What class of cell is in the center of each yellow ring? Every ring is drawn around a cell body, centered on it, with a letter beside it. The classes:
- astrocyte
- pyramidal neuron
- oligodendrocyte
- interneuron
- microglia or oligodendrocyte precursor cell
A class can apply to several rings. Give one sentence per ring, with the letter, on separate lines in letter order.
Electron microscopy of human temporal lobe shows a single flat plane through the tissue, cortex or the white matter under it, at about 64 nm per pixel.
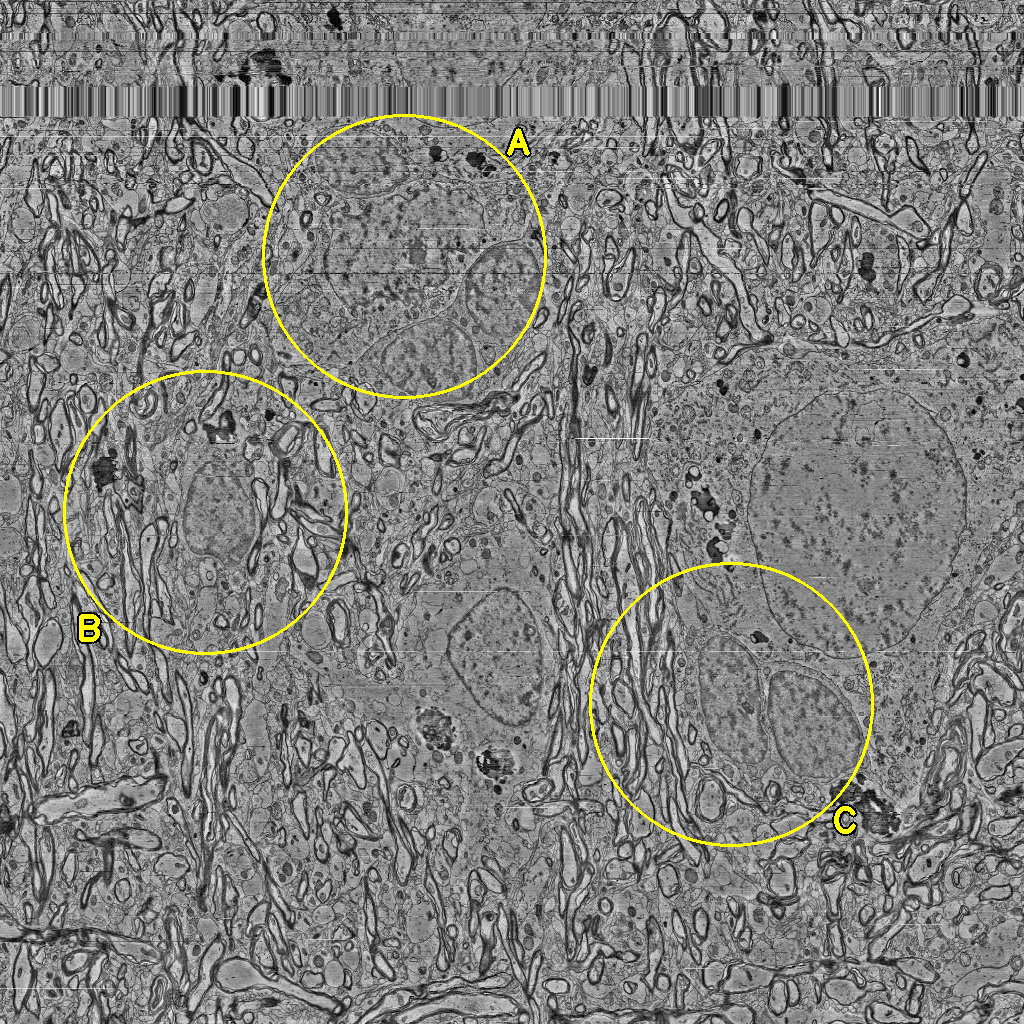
Ring A holds an interneuron at its center.
Ring B holds an oligodendrocyte at its center.
Ring C holds an oligodendrocyte at its center.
